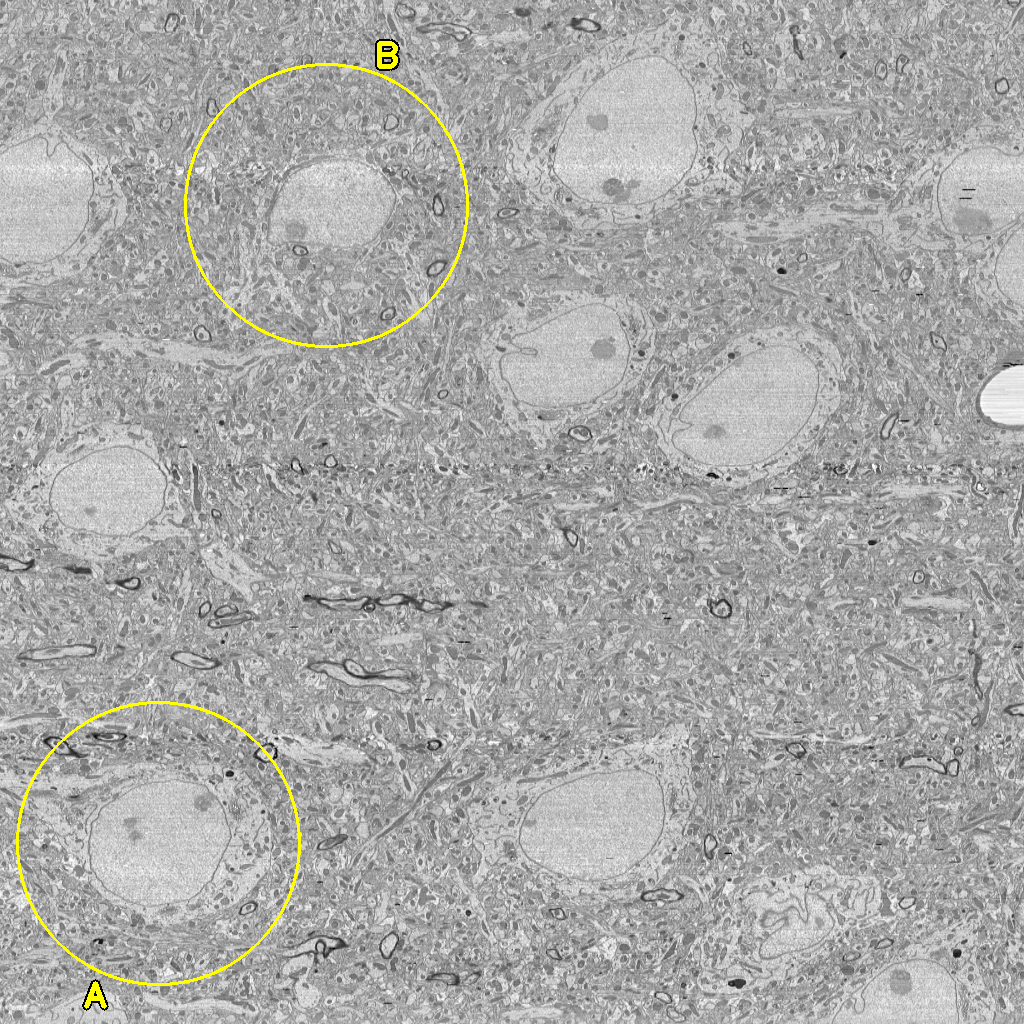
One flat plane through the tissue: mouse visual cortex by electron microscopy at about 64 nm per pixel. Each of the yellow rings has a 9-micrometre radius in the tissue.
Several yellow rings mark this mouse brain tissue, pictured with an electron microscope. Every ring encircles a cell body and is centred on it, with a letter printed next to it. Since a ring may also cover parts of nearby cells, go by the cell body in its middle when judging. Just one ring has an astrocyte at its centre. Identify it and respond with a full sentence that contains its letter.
The answer is ring B, whose centre rests on the cell asked for.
